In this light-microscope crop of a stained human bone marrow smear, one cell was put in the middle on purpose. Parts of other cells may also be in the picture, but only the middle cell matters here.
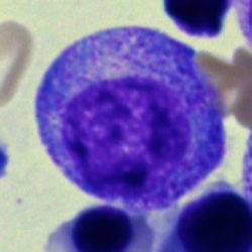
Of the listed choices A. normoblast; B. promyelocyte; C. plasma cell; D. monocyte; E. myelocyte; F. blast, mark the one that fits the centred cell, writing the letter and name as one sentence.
Option B is the correct selection, for the cell at the centre is a promyelocyte.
